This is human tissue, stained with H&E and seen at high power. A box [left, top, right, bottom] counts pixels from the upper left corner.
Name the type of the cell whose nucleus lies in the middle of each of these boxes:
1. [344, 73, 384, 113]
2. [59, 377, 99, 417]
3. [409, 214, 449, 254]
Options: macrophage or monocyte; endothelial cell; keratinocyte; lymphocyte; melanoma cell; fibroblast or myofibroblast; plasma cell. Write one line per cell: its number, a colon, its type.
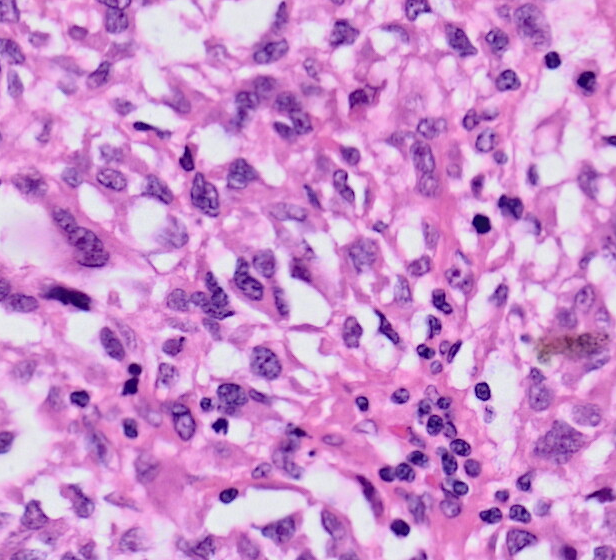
1: melanoma cell
2: lymphocyte
3: melanoma cell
